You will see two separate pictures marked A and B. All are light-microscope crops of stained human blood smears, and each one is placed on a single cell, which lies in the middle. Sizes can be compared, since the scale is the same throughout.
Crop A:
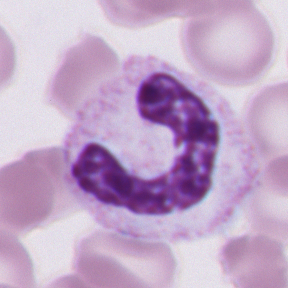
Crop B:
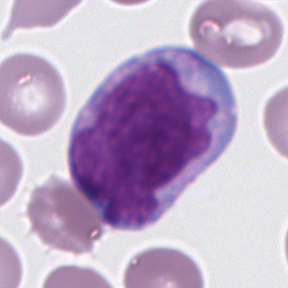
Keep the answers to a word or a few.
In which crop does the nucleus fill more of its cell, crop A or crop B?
B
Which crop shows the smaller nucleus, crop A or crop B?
A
